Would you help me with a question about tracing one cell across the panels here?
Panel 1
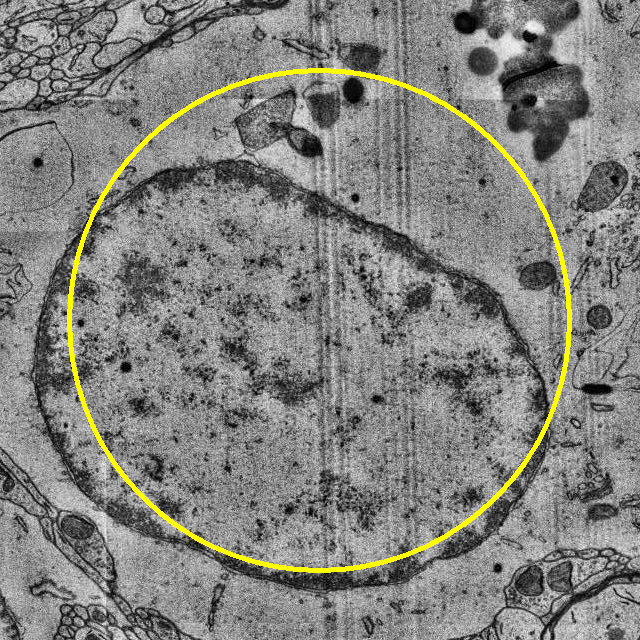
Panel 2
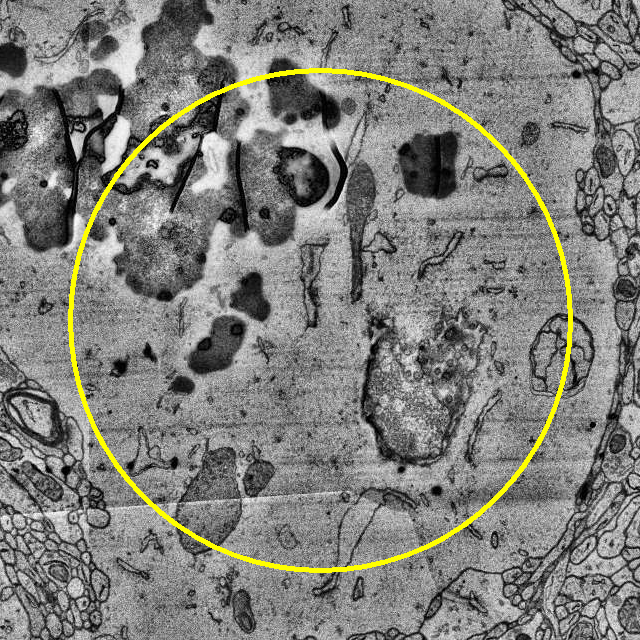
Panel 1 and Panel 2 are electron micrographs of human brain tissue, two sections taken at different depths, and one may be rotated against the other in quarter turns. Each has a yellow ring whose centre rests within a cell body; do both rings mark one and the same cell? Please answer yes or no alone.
yes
